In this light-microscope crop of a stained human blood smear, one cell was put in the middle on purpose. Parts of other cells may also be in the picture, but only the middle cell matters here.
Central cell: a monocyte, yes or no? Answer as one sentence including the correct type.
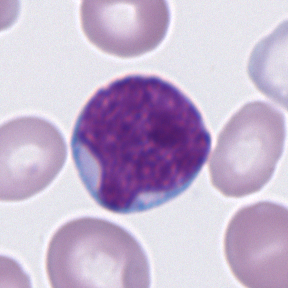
No, what the centre of the crop shows is a myeloblast, not a monocyte.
